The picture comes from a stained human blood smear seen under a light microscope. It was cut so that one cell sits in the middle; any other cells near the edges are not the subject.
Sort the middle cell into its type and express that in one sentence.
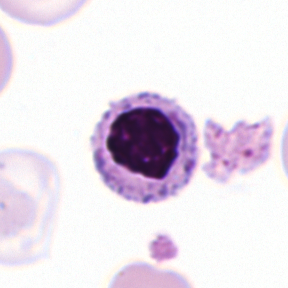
The cell positioned in the middle of the field is an erythroblast.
